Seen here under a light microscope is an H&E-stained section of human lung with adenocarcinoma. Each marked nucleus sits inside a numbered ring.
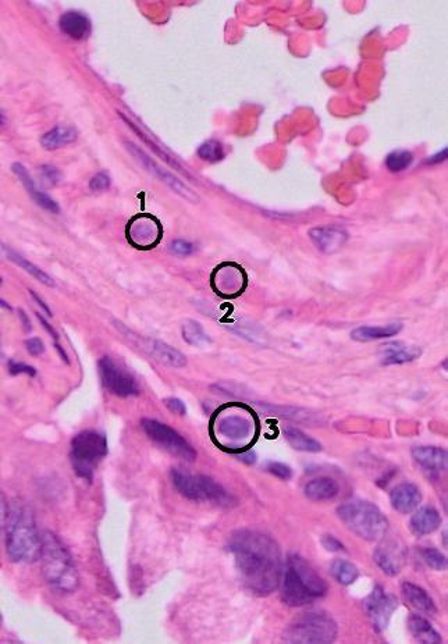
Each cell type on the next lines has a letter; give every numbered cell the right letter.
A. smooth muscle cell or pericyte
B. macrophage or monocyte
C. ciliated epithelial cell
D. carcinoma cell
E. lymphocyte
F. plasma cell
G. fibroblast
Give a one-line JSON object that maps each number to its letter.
{"1": "A", "2": "A", "3": "E"}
